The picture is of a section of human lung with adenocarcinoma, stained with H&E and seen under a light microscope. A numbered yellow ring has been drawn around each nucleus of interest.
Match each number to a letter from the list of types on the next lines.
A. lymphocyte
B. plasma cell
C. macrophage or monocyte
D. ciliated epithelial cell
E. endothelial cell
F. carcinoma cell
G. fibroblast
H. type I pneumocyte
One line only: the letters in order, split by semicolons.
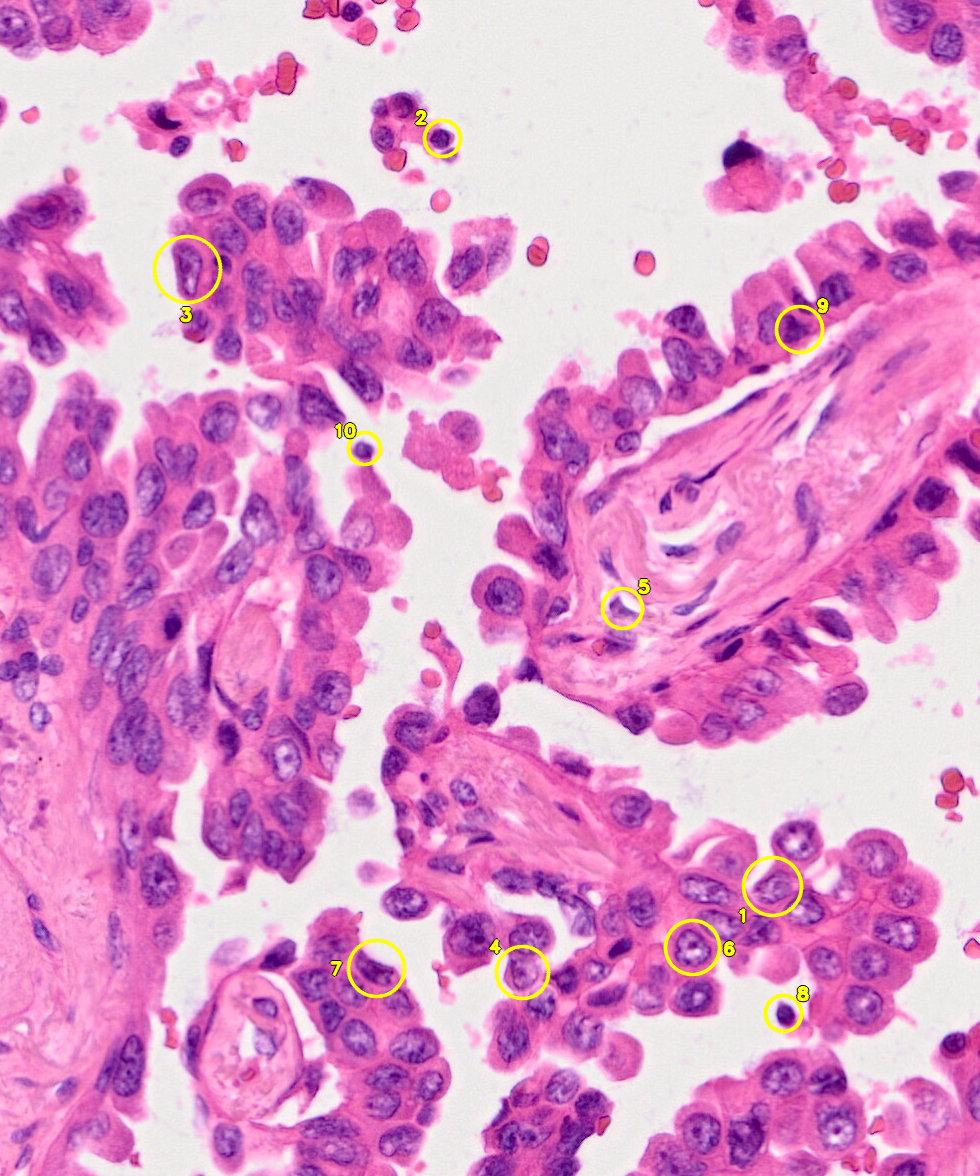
F; A; F; F; G; F; F; A; F; A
